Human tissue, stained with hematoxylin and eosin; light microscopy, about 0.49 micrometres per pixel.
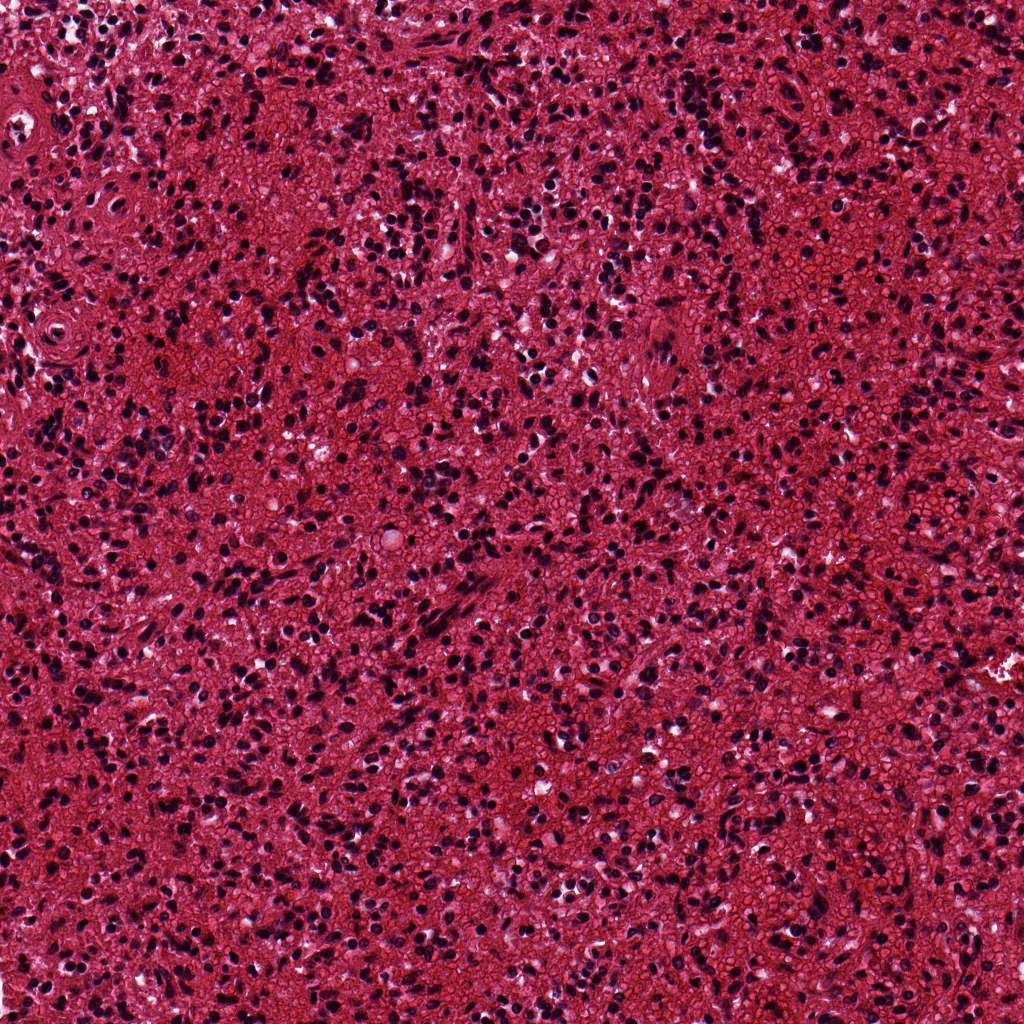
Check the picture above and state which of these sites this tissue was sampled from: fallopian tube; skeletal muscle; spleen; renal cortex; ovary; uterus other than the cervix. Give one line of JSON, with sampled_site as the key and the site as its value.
{"sampled_site": "spleen"}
